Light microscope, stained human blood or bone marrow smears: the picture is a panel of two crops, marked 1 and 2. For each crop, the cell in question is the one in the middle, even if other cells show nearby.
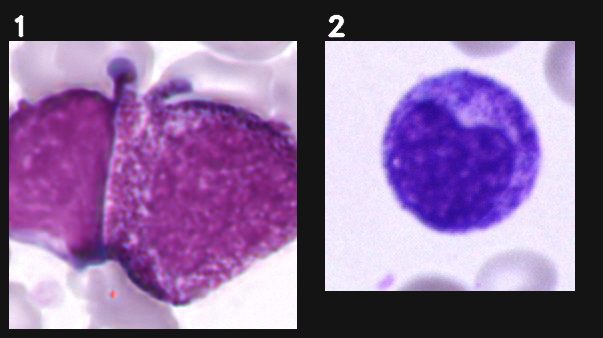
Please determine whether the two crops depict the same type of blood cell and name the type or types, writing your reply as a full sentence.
Yes, the two crops are alike in showing promyelocytes.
